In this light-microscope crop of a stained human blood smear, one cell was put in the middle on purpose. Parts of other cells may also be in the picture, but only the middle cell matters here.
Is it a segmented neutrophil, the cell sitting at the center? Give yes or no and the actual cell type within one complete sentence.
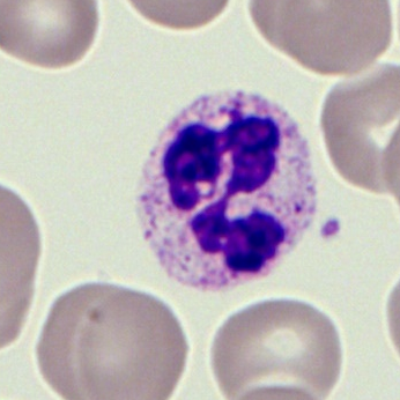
Yes, the cell that the crop is centred on is a segmented neutrophil.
